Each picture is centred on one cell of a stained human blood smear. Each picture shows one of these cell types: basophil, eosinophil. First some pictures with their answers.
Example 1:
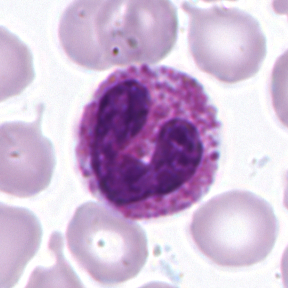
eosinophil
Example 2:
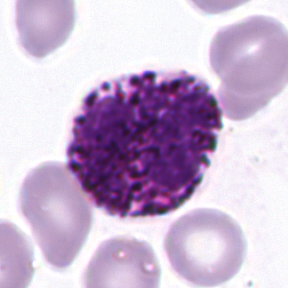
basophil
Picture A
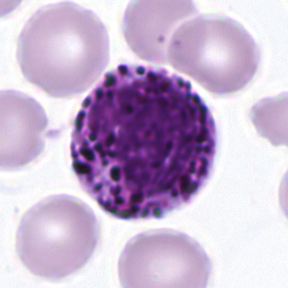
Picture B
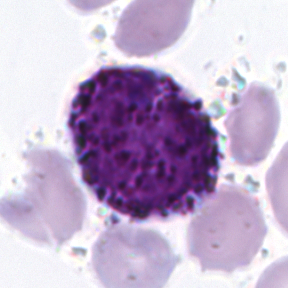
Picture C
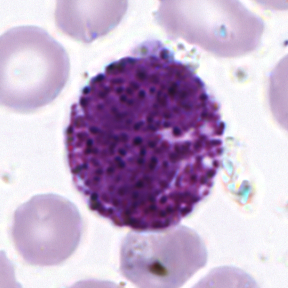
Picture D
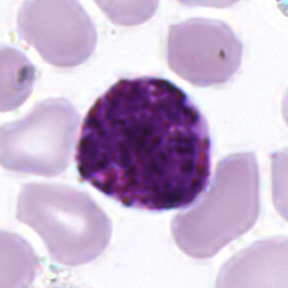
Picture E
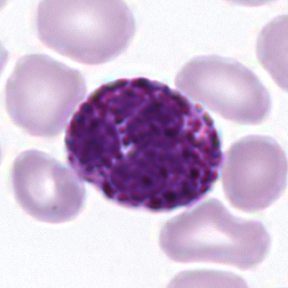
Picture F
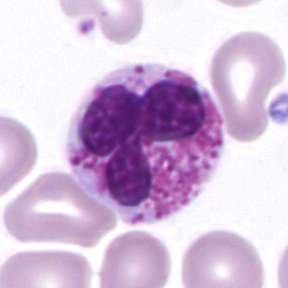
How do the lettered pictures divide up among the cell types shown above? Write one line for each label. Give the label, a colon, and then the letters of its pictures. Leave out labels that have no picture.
basophil: A, B, C, D, E
eosinophil: F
